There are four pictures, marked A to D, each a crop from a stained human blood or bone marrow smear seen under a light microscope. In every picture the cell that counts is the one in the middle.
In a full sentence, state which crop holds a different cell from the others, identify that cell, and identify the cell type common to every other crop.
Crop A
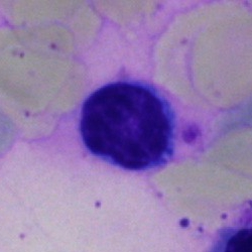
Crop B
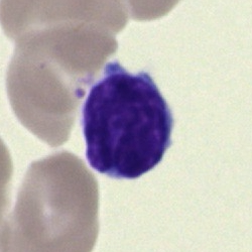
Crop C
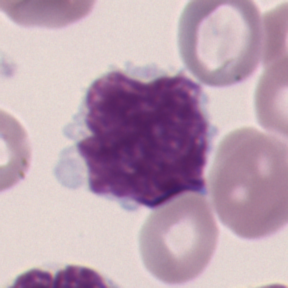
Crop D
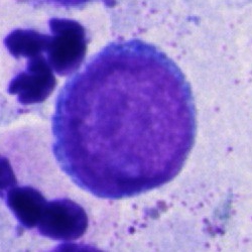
Crop D differs: it is a blast, and all the other crops show lymphocytes.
